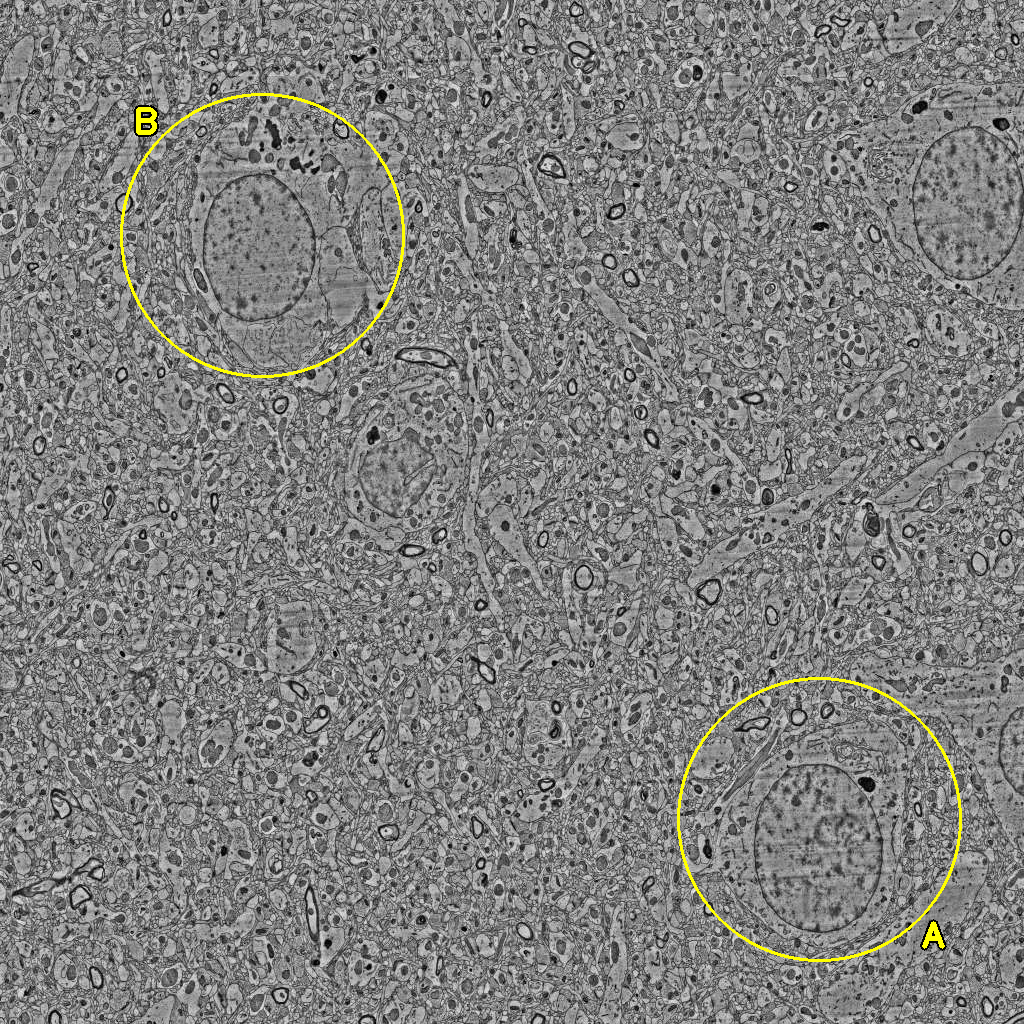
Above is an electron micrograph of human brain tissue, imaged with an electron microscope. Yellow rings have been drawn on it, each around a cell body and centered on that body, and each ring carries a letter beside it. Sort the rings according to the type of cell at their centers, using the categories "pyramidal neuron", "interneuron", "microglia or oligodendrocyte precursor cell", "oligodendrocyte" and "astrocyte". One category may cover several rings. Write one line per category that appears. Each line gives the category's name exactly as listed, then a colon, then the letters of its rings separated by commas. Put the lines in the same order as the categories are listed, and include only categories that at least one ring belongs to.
pyramidal neuron: A
astrocyte: B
